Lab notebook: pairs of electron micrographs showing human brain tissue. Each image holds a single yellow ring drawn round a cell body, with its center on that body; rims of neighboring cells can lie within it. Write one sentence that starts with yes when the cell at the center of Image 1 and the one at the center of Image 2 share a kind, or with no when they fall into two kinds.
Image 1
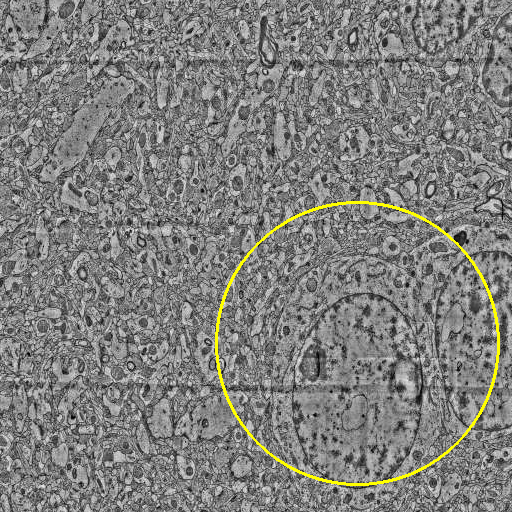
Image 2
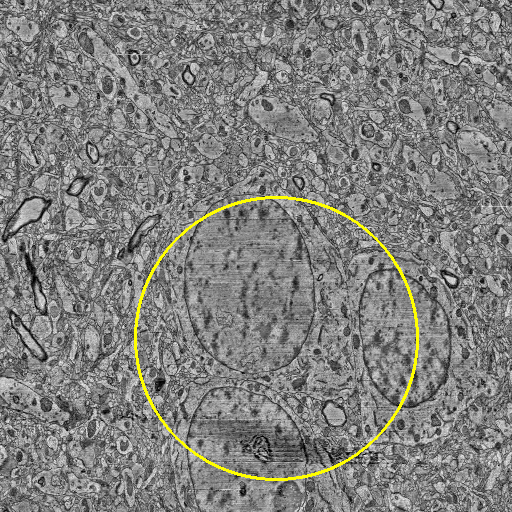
Yes, the centered cell in Image 1 and the centered cell in Image 2 are of one kind.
